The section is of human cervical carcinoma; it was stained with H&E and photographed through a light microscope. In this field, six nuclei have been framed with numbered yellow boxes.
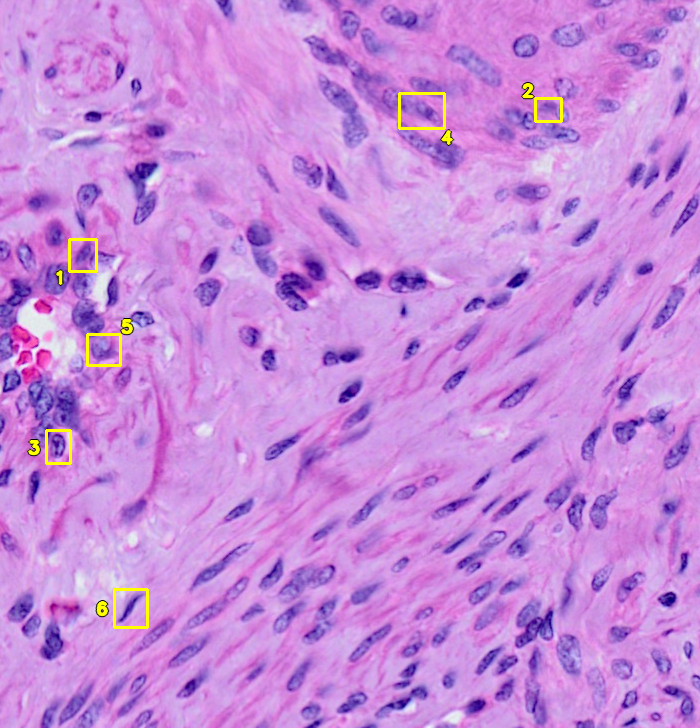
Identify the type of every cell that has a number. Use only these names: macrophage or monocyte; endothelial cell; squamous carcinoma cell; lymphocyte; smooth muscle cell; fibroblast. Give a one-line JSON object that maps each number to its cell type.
{"1": "endothelial cell", "2": "smooth muscle cell", "3": "endothelial cell", "4": "smooth muscle cell", "5": "endothelial cell", "6": "fibroblast"}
